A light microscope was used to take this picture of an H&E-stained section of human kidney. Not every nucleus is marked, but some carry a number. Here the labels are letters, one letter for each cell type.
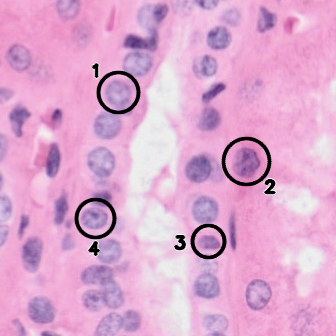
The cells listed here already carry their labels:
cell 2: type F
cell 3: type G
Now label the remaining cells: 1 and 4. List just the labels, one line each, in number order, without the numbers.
type G
type G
